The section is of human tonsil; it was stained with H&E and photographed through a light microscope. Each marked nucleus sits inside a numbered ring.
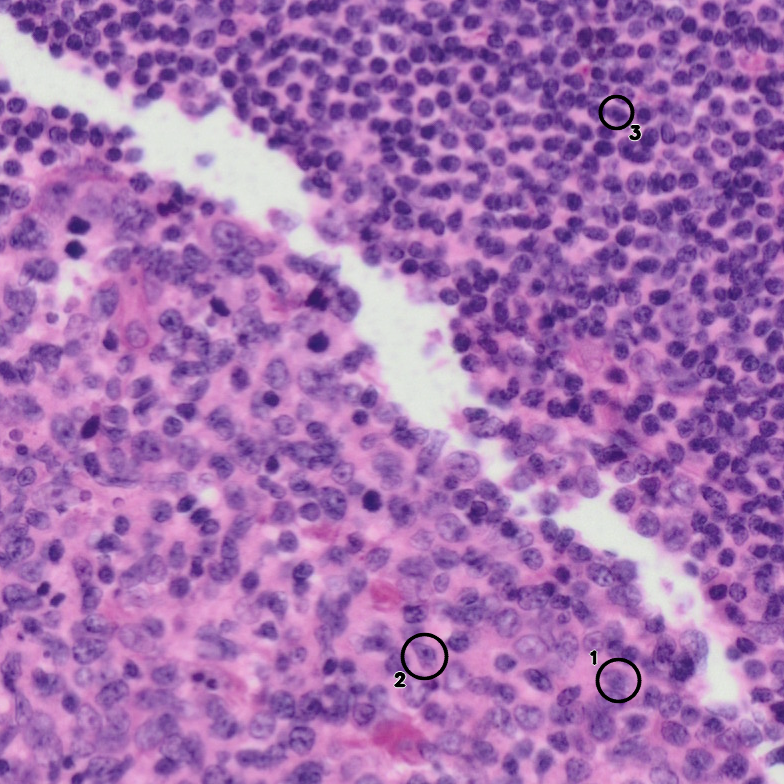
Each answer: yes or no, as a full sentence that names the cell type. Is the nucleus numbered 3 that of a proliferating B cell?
No, it is not a proliferating B cell that bears number 3 but a small lymphocyte.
